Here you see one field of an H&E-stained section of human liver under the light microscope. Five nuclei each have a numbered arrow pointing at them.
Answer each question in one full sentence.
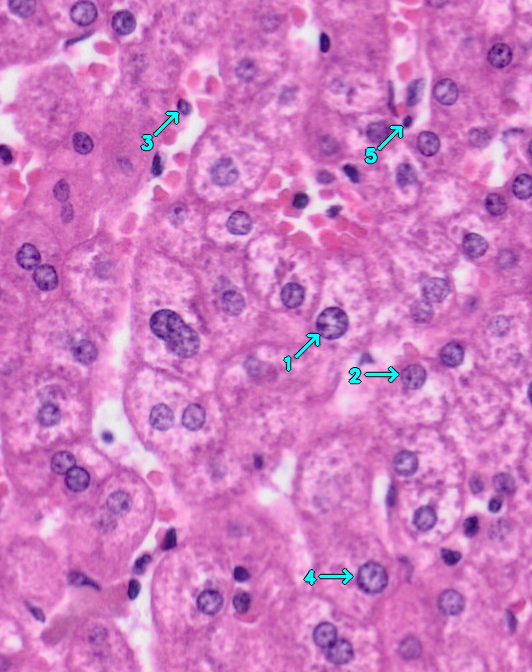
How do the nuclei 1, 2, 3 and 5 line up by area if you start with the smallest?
From smallest to largest, the order is 5, 3, 2, 1.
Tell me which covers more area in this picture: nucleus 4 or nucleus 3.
The larger nucleus is 4, at roughly 4 times the area of 3.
